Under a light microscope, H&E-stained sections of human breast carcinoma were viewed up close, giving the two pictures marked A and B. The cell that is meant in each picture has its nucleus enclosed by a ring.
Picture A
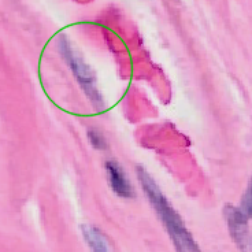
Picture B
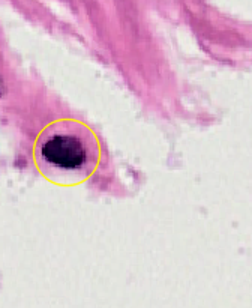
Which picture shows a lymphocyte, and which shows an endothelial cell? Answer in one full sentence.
Picture A is of an endothelial cell, and picture B is of a lymphocyte.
